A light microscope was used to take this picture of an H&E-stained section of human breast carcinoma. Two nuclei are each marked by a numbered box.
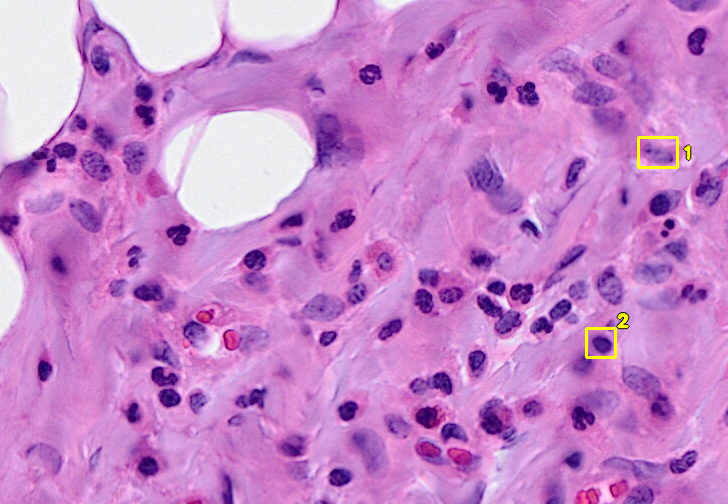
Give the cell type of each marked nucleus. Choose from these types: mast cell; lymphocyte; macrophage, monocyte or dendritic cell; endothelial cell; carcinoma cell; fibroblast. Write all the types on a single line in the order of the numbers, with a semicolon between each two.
mast cell; lymphocyte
